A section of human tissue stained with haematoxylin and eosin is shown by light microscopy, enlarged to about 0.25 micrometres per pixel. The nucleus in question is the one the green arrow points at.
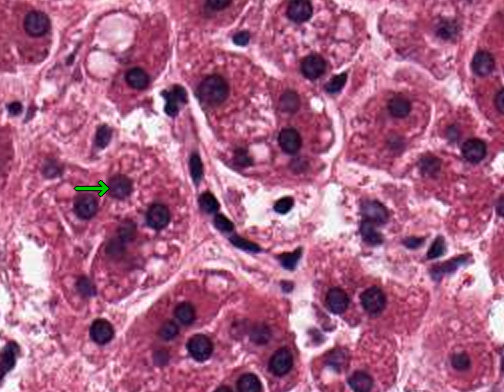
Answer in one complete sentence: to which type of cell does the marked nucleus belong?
Marked in this picture is the nucleus of an adrenal cortical cell.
